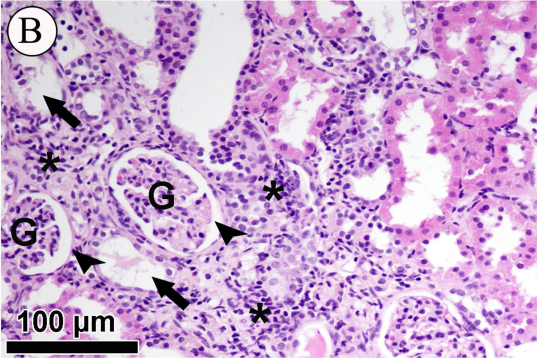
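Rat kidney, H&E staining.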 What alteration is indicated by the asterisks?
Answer: interstitial inflammation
